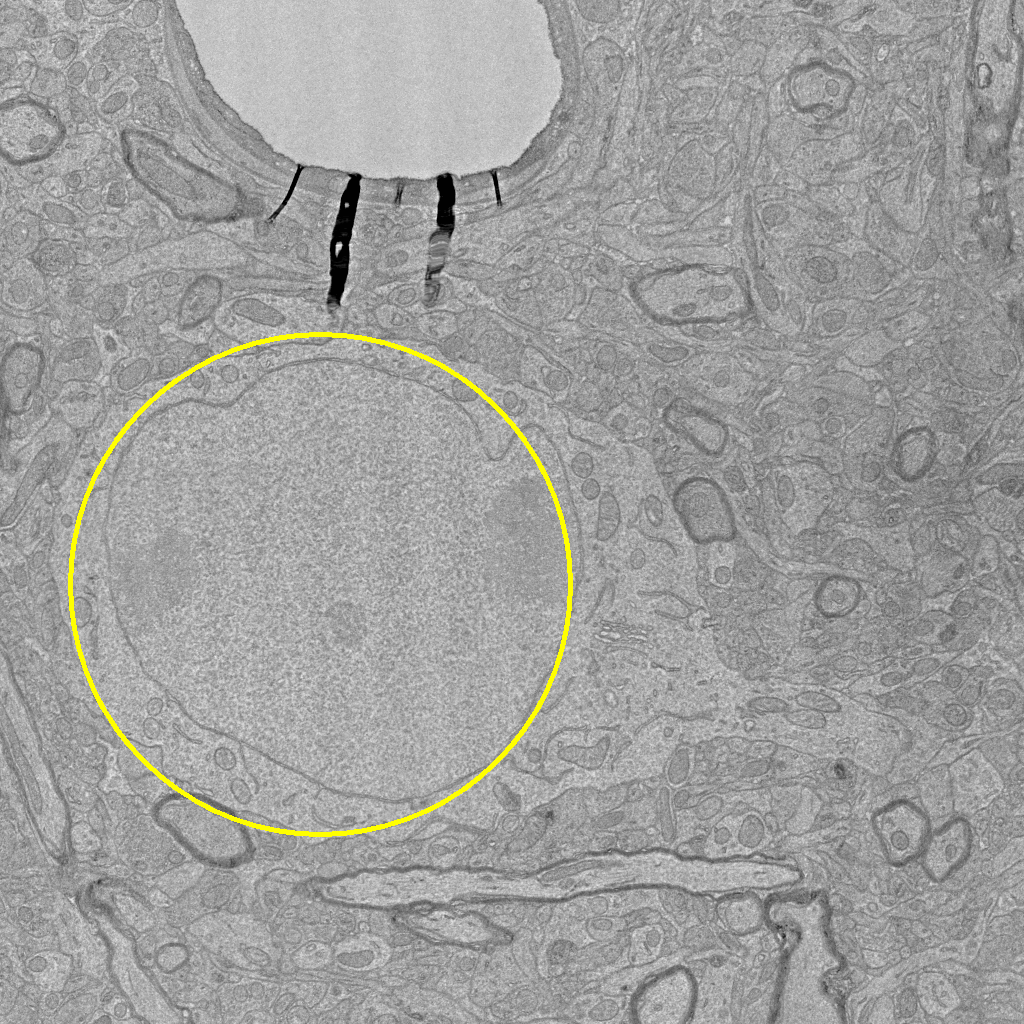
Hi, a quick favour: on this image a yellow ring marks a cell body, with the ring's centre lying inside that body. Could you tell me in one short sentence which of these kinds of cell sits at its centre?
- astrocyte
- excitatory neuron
The ring's centre lies in an excitatory neuron.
